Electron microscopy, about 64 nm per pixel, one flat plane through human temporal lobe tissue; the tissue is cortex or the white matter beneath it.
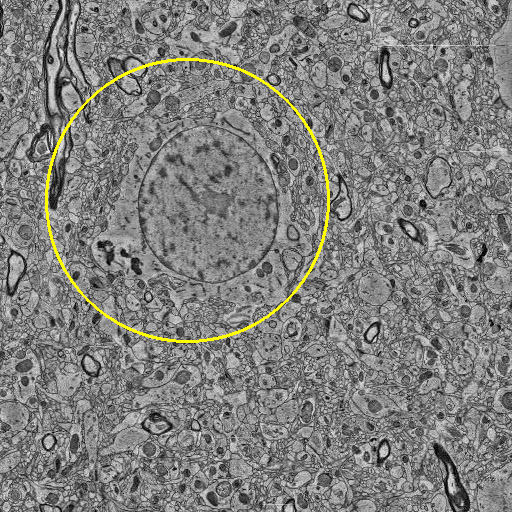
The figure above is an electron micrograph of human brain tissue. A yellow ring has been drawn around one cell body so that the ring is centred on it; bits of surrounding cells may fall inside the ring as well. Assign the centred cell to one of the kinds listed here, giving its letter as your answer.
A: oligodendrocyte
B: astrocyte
B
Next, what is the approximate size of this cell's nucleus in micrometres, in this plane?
In this plane, approximately 11 by 9 micrometers.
